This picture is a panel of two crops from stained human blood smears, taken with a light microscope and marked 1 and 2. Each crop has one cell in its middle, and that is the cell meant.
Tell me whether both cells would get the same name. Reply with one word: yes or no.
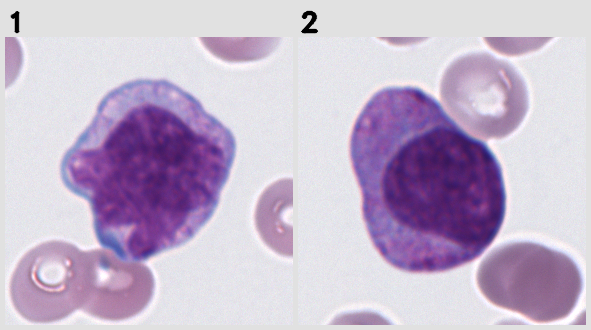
yes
